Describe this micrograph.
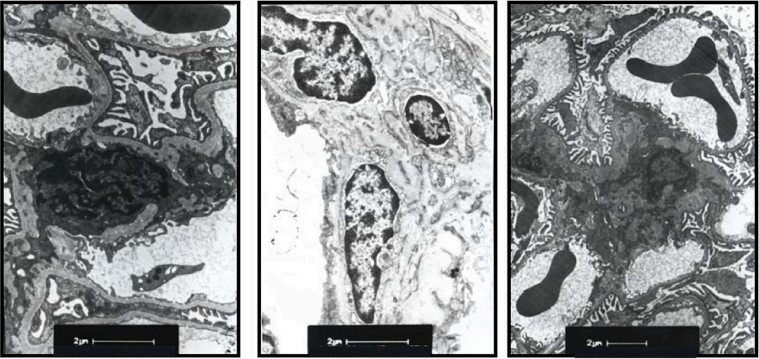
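These transmission electron micrographs show the mesangial area of the glomerulus, the central region between capillary loops. In the left and right images a dense, dark mesangial region lies at the centre, surrounded by capillary loops that contain red blood cells cut in dark, curved profiles. Fine foot processes line the outer surfaces of the loops. The middle image is paler overall and shows nuclei with clumped chromatin set in a wide, pale, loosely textured area. Thin cell processes and membranes run through this pale area.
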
